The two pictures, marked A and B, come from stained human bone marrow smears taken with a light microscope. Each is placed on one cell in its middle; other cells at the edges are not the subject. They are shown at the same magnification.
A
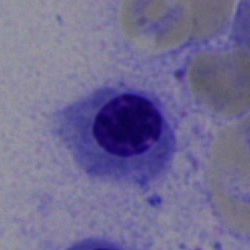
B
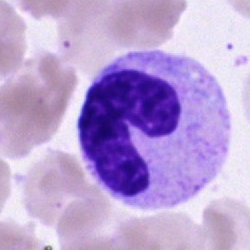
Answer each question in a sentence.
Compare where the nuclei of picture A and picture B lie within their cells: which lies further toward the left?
It is the nucleus in picture B that lies further toward the left of its cell.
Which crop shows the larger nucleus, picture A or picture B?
It is the nucleus in picture B, about 2.5 times as large in area as the one in picture A.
